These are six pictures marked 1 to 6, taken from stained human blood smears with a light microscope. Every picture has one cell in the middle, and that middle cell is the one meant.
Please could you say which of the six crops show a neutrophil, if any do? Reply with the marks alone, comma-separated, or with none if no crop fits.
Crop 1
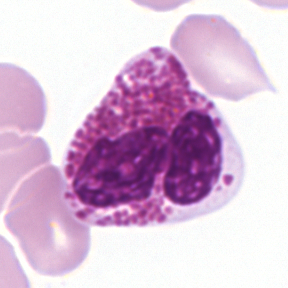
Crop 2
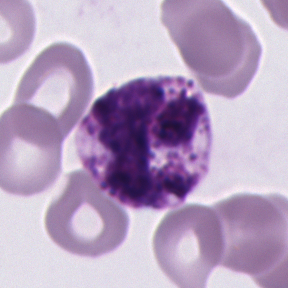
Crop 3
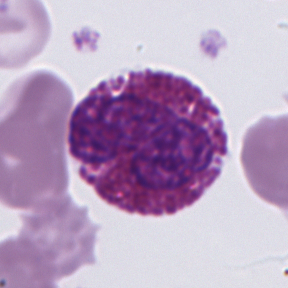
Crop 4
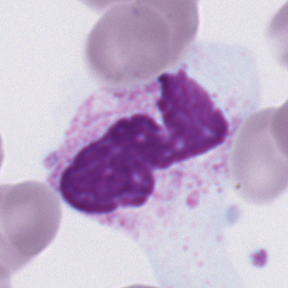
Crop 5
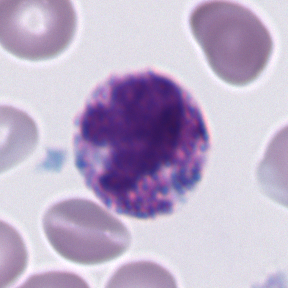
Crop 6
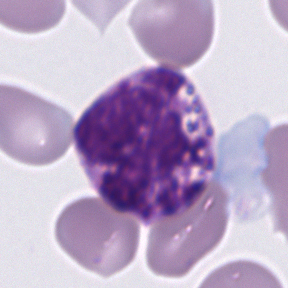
4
